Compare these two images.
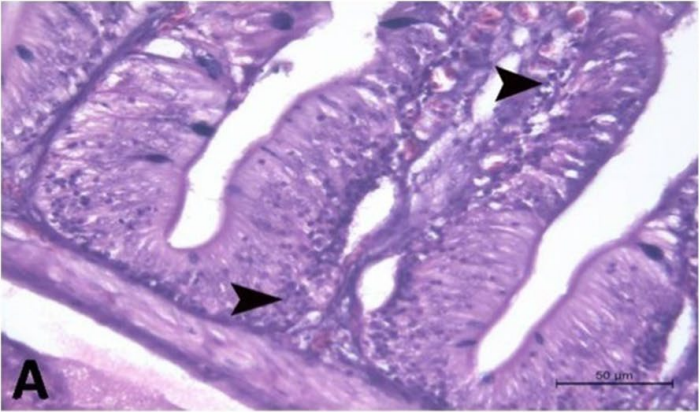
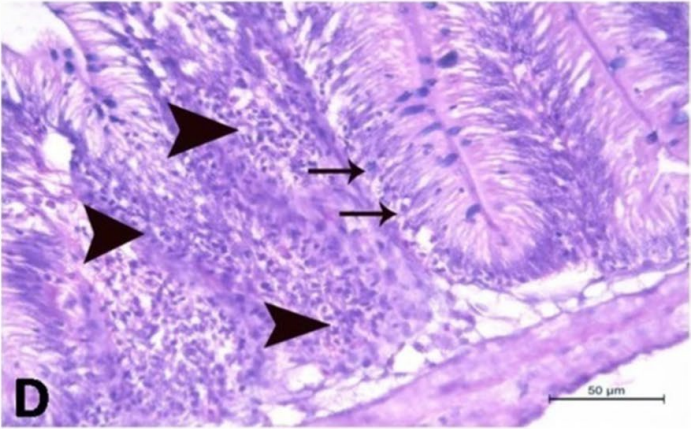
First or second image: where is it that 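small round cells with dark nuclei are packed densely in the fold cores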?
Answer: The second image.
